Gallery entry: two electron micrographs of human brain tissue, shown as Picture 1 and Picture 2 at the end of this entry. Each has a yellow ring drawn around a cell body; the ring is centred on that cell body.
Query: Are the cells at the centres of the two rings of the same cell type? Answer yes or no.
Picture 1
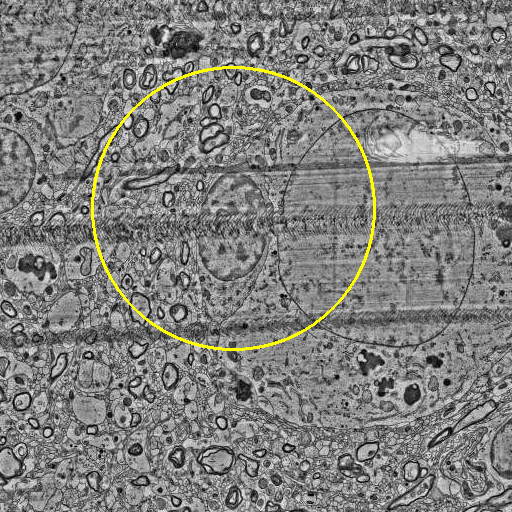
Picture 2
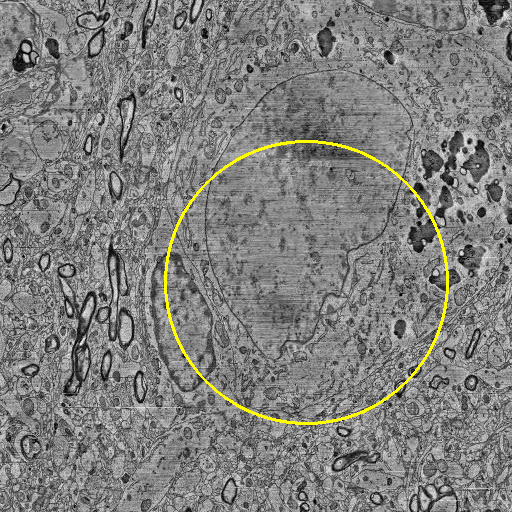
no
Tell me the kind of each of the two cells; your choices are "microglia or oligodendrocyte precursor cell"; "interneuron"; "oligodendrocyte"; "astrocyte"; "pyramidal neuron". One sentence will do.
The ringed cell is an oligodendrocyte in the first picture and a pyramidal neuron in the second picture.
